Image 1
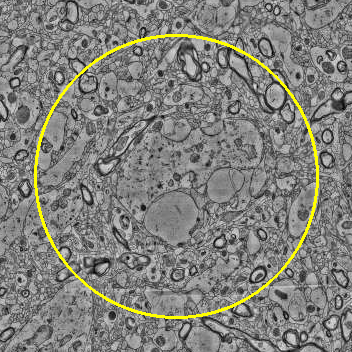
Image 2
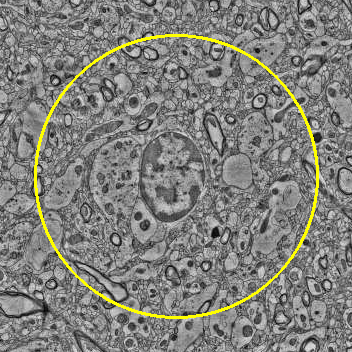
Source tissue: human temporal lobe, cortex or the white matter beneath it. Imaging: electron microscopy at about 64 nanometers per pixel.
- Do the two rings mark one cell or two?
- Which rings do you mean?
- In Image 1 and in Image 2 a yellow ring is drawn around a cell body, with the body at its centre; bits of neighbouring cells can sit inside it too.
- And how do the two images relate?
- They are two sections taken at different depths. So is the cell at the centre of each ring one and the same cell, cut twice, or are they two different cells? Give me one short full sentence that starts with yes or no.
Yes, a single cell is the subject of both yellow rings.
